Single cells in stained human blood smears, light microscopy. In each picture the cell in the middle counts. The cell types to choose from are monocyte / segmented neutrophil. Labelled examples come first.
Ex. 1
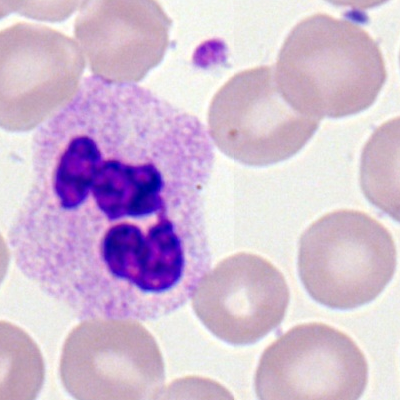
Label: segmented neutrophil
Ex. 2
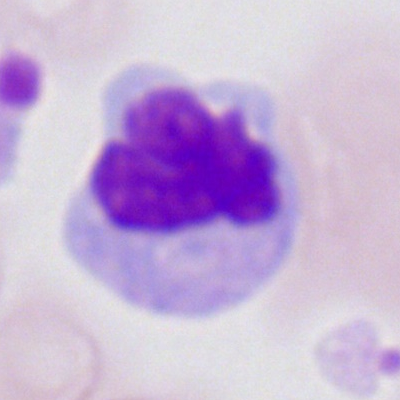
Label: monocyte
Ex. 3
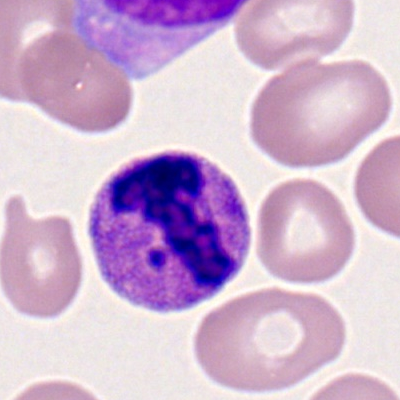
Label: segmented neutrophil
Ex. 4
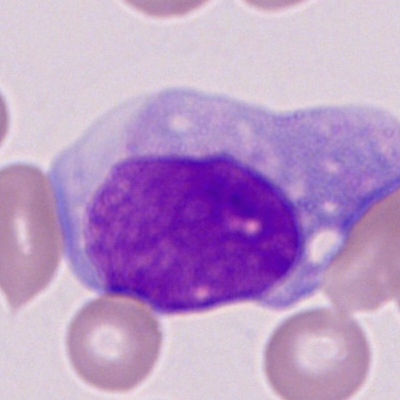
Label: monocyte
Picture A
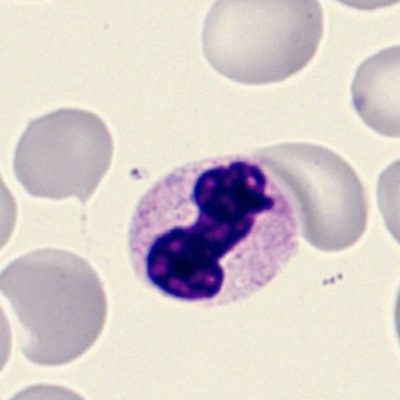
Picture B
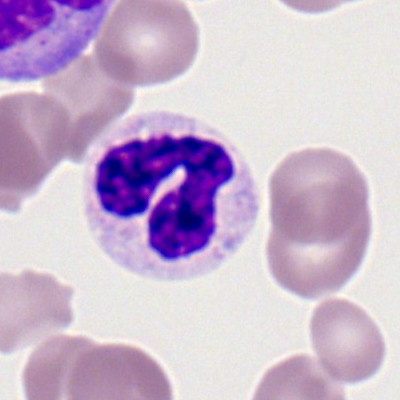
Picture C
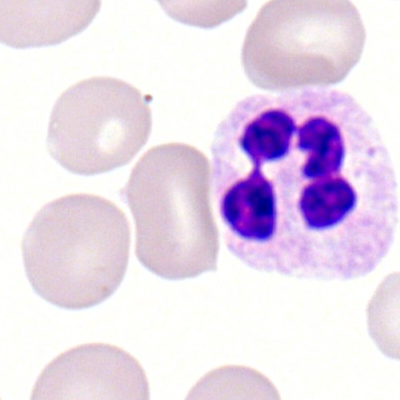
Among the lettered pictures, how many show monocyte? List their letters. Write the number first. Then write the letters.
0, none of them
